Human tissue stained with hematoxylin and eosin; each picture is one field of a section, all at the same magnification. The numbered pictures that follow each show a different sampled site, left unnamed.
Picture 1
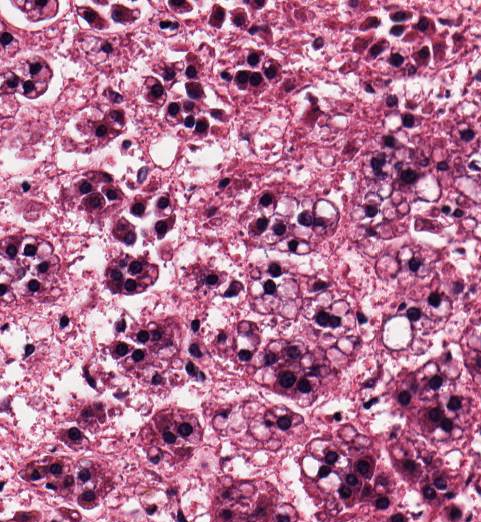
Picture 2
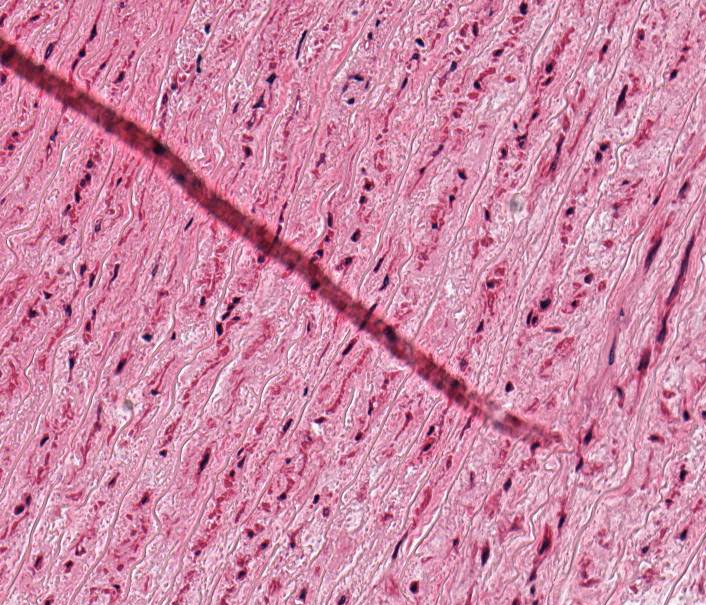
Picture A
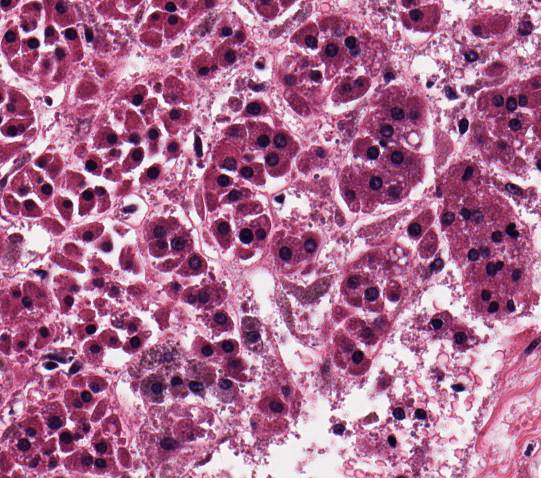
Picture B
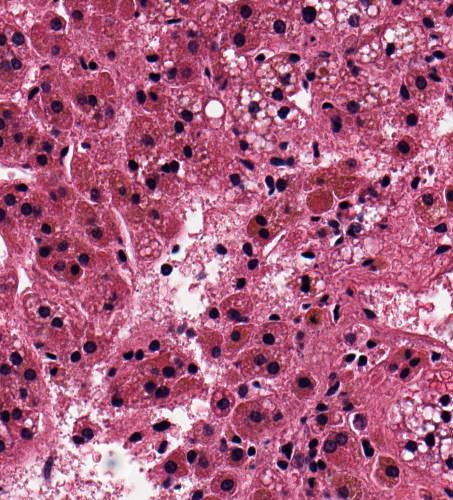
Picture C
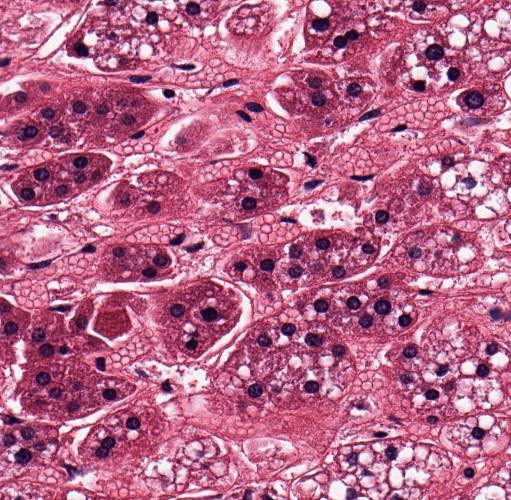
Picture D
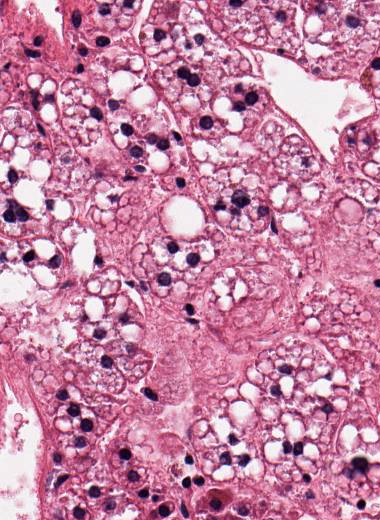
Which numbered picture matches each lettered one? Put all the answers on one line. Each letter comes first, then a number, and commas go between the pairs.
A 1, B 1, C 1, D 1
